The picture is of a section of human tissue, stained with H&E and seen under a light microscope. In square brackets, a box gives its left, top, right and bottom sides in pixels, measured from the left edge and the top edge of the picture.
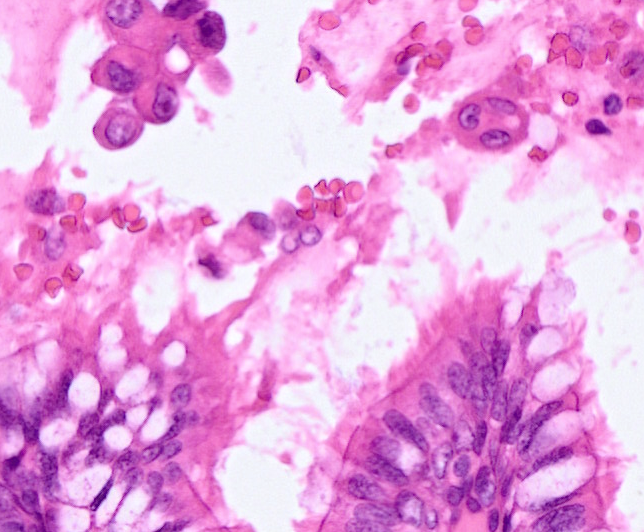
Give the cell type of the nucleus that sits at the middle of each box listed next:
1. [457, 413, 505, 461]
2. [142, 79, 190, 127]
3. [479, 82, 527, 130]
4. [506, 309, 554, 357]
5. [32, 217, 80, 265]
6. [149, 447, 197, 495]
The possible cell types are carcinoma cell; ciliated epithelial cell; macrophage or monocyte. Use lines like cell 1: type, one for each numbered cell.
cell 1: ciliated epithelial cell
cell 2: carcinoma cell
cell 3: macrophage or monocyte
cell 4: ciliated epithelial cell
cell 5: macrophage or monocyte
cell 6: ciliated epithelial cell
